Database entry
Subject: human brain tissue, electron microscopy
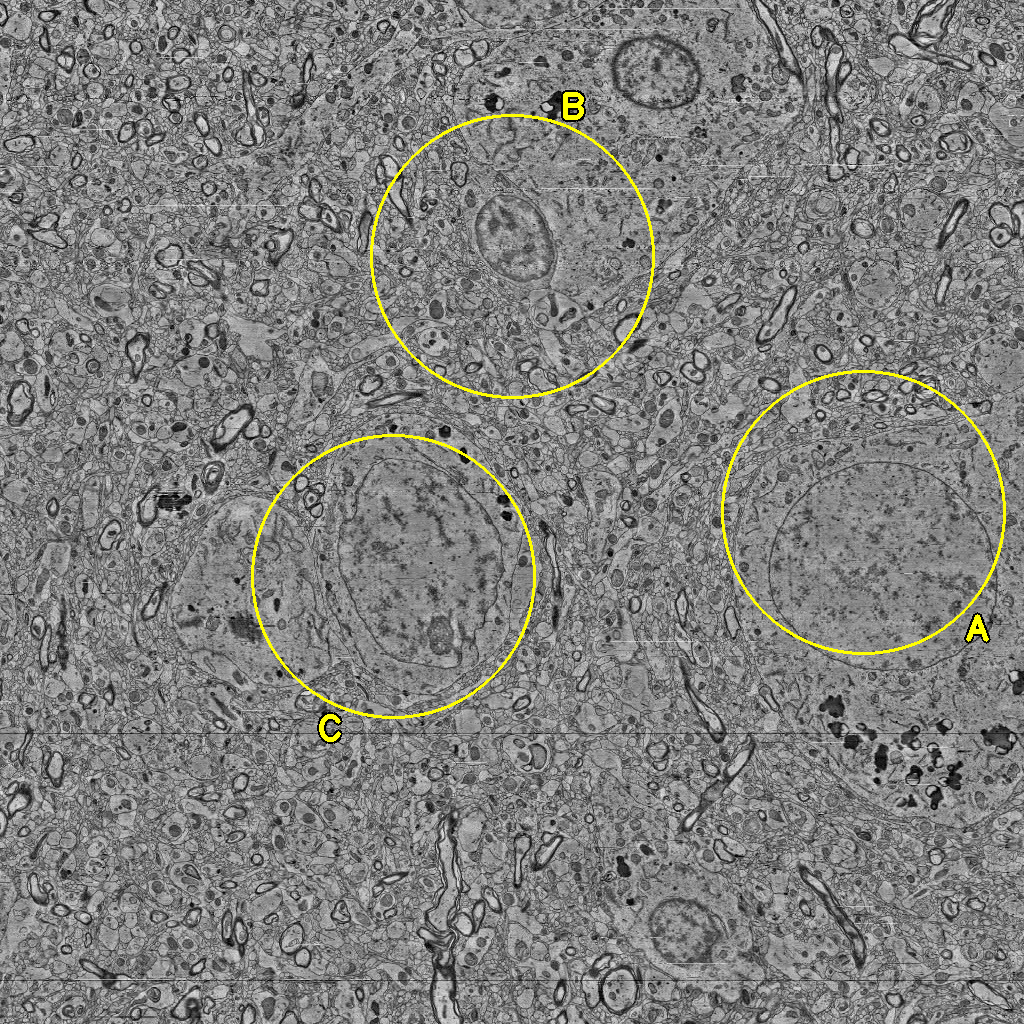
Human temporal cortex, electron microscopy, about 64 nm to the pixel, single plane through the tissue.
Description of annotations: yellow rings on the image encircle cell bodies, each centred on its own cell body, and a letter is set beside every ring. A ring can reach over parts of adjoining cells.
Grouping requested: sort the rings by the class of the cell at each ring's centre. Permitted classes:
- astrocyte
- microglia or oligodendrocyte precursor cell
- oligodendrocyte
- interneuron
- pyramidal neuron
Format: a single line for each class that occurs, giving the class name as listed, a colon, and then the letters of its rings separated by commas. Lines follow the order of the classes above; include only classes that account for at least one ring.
oligodendrocyte: B
pyramidal neuron: A, C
